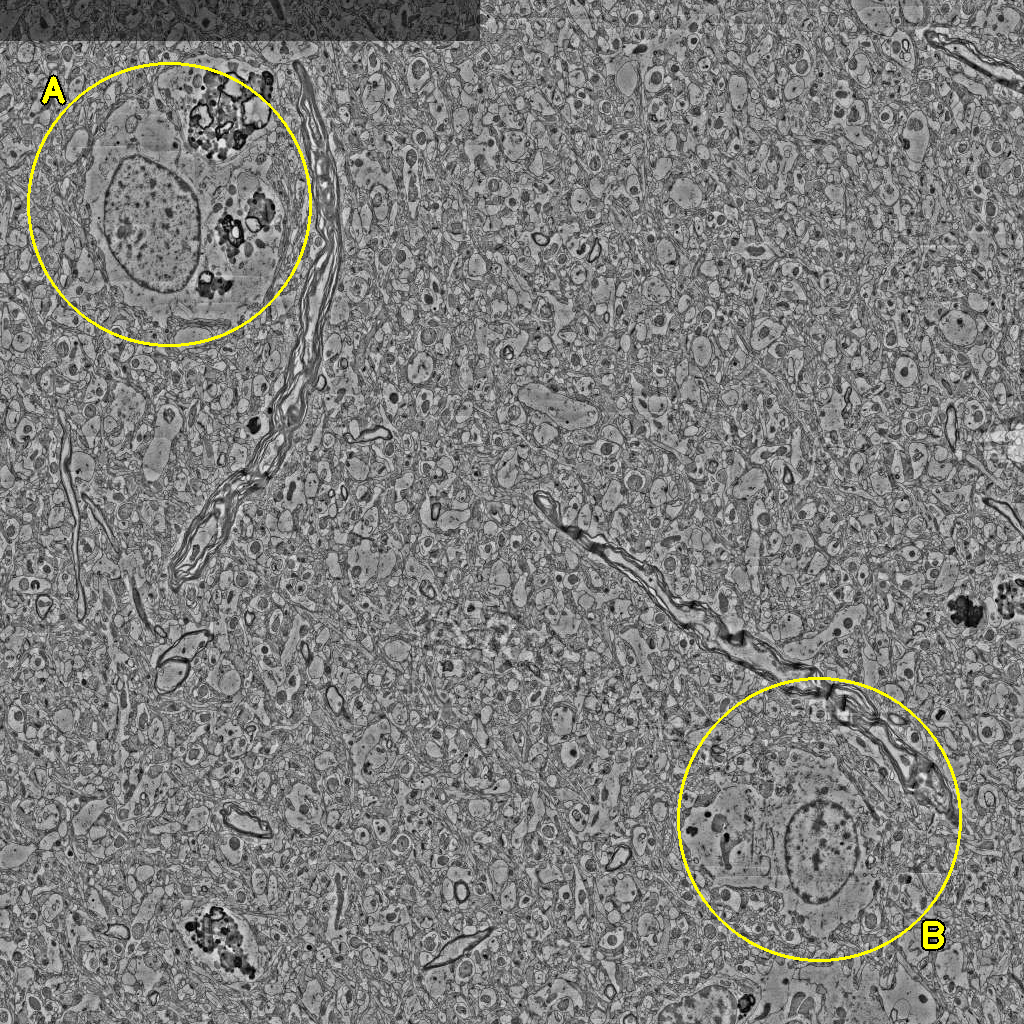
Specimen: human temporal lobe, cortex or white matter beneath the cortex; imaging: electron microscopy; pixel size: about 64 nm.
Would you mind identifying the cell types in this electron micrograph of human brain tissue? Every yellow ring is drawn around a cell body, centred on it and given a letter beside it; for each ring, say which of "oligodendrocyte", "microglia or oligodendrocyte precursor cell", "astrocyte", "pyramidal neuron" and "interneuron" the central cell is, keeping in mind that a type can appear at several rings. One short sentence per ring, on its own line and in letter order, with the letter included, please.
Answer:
At the centre of ring A lies an astrocyte.
At the centre of ring B lies an astrocyte.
